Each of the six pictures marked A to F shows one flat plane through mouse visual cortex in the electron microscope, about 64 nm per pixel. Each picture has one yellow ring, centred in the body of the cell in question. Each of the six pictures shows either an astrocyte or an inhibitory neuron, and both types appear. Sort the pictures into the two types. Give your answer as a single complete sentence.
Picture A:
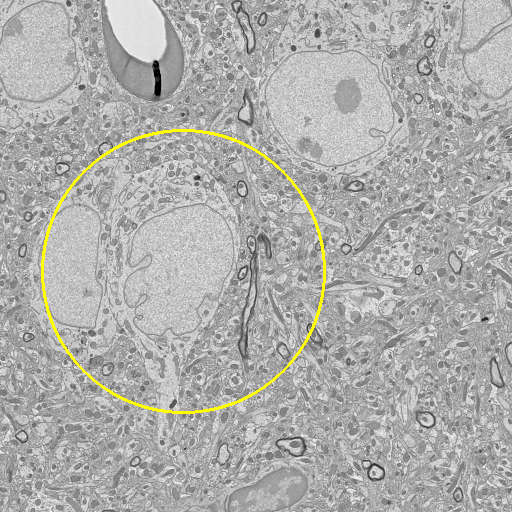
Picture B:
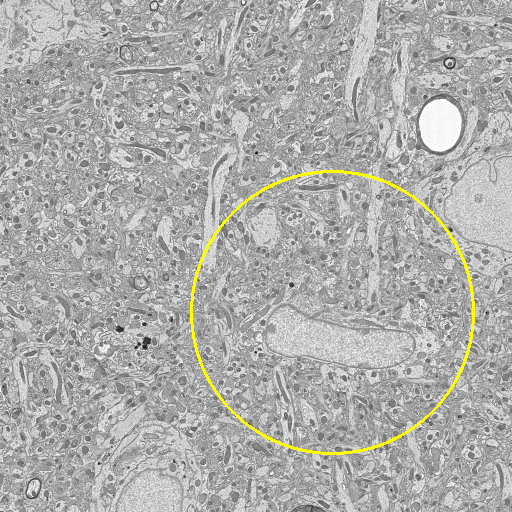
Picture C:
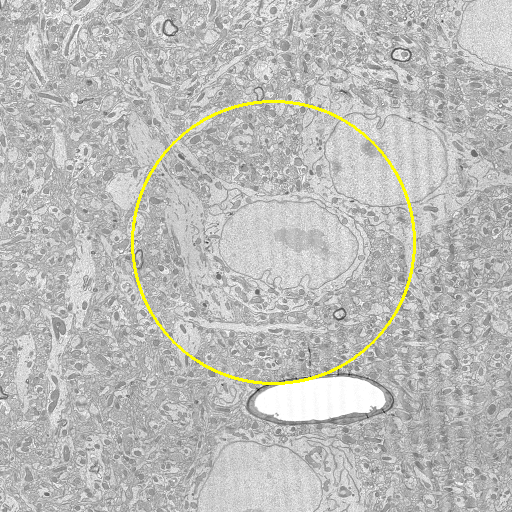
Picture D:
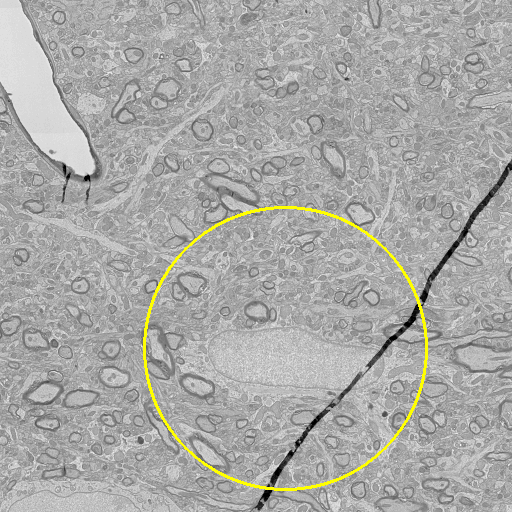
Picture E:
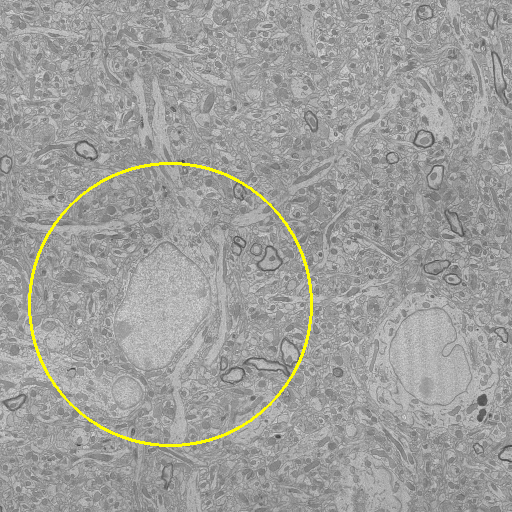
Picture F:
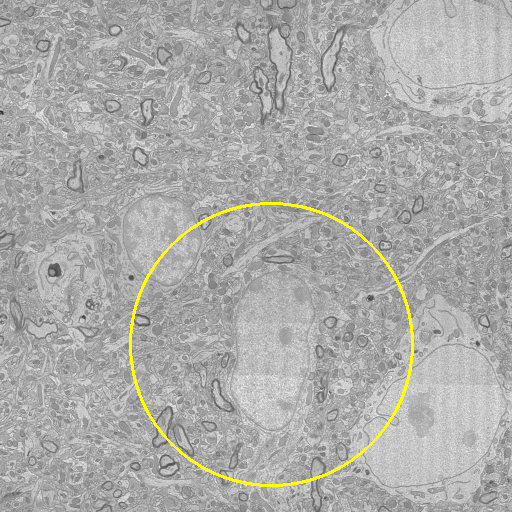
Pictures B, D, E and F show astrocytes; pictures A and C show inhibitory neurons.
